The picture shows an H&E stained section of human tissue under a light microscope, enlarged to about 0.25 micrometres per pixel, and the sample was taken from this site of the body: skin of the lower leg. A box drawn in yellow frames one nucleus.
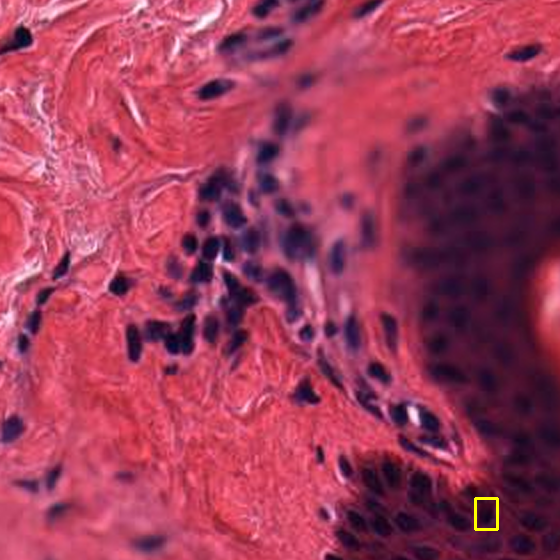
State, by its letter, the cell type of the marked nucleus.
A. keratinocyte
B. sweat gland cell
A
